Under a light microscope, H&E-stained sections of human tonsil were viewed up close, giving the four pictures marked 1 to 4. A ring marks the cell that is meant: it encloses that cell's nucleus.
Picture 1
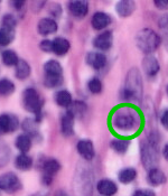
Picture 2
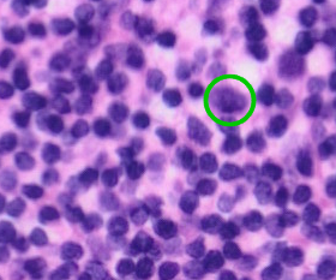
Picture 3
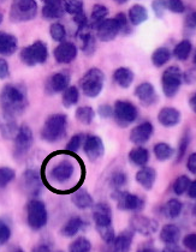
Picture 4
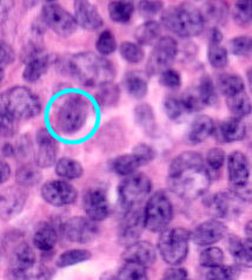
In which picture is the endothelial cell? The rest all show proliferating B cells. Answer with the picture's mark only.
1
